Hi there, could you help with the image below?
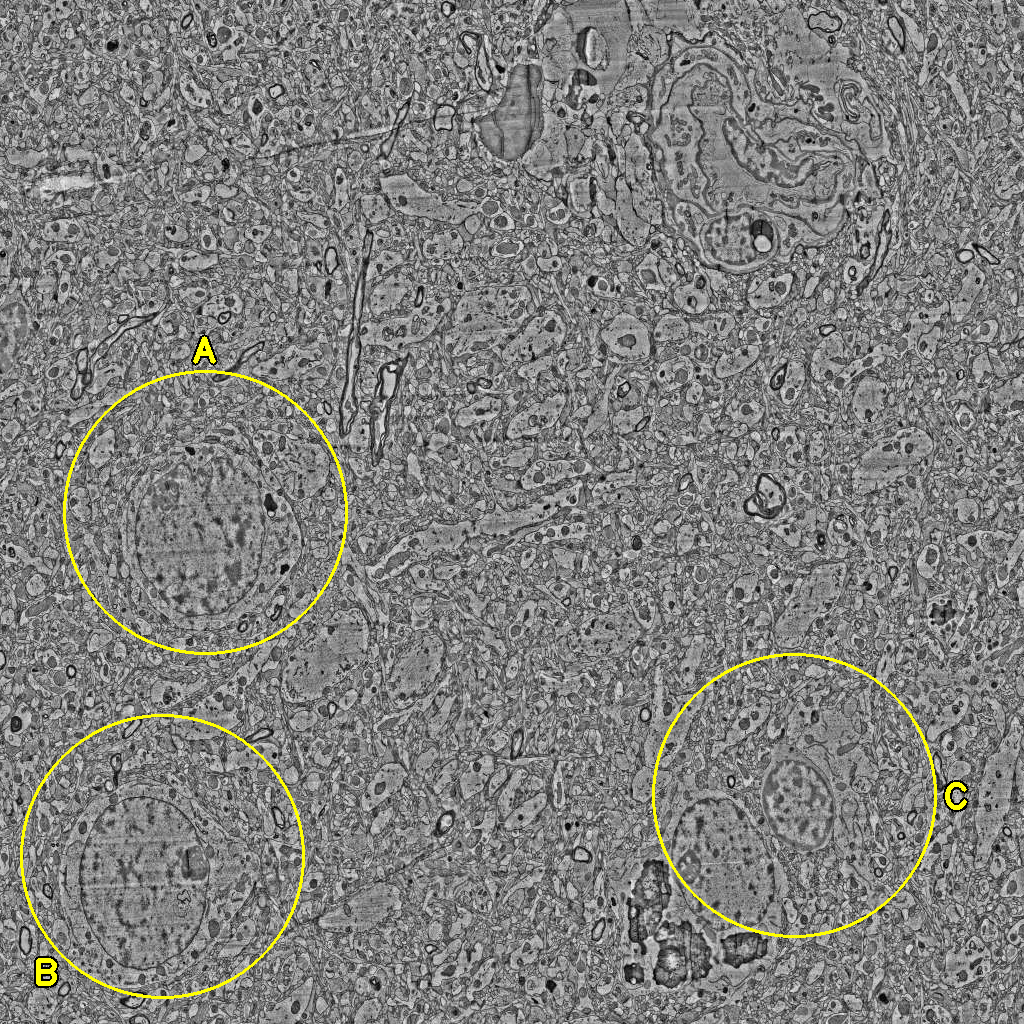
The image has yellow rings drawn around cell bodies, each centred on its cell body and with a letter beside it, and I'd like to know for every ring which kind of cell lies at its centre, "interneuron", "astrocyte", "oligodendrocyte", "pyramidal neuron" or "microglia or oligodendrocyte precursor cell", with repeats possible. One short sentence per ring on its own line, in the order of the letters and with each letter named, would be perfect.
Ring A is placed around an interneuron.
Ring B is placed around a pyramidal neuron.
Ring C is placed around an oligodendrocyte.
